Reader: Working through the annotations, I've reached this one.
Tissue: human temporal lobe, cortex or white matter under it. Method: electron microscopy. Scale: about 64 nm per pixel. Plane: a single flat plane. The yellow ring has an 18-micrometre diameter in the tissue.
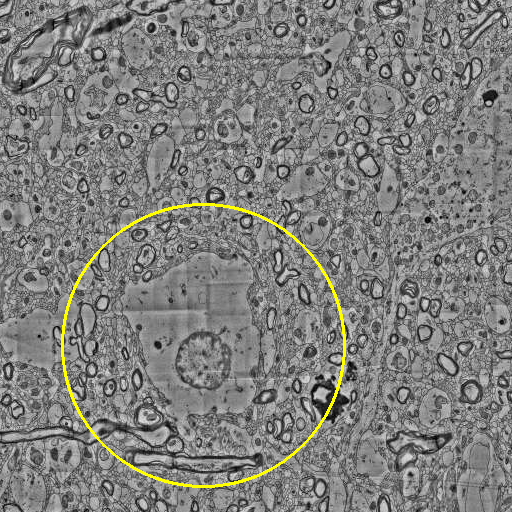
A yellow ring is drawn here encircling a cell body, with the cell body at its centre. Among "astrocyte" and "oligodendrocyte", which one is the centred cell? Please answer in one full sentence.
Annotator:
The cell body at the centre of the yellow ring in this image belongs to an astrocyte.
